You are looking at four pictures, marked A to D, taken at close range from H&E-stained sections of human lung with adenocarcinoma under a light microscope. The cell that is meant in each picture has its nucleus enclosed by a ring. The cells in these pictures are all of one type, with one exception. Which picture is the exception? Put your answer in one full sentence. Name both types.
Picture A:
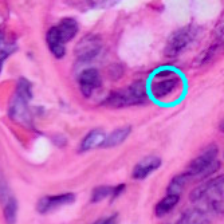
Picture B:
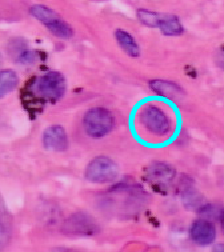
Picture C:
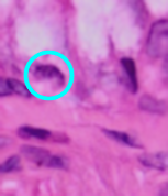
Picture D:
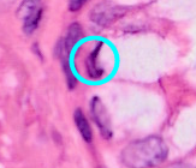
Picture B is the odd one out: it shows a mast cell, while the others show ciliated epithelial cells.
